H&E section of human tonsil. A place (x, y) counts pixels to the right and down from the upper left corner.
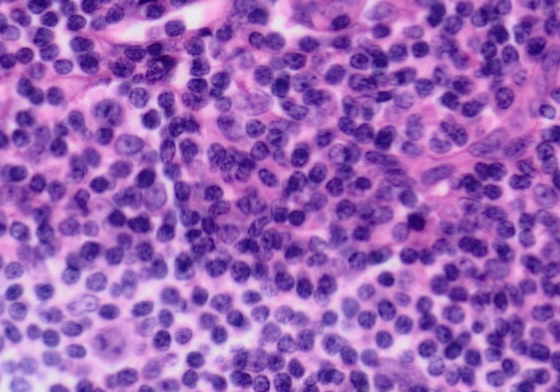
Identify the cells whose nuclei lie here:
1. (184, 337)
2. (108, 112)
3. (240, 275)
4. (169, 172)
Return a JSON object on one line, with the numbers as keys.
{"1": "small lymphocyte", "2": "proliferating B cell", "3": "small lymphocyte", "4": "small lymphocyte"}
